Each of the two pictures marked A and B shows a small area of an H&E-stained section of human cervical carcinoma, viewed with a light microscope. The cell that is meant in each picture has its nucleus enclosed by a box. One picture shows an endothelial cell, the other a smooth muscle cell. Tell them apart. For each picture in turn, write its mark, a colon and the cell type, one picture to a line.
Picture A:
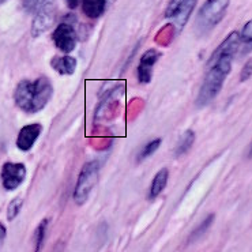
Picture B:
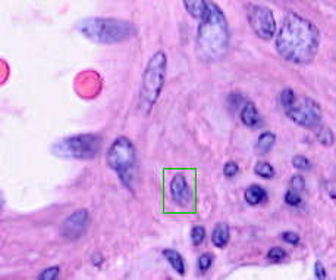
A: endothelial cell
B: smooth muscle cell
